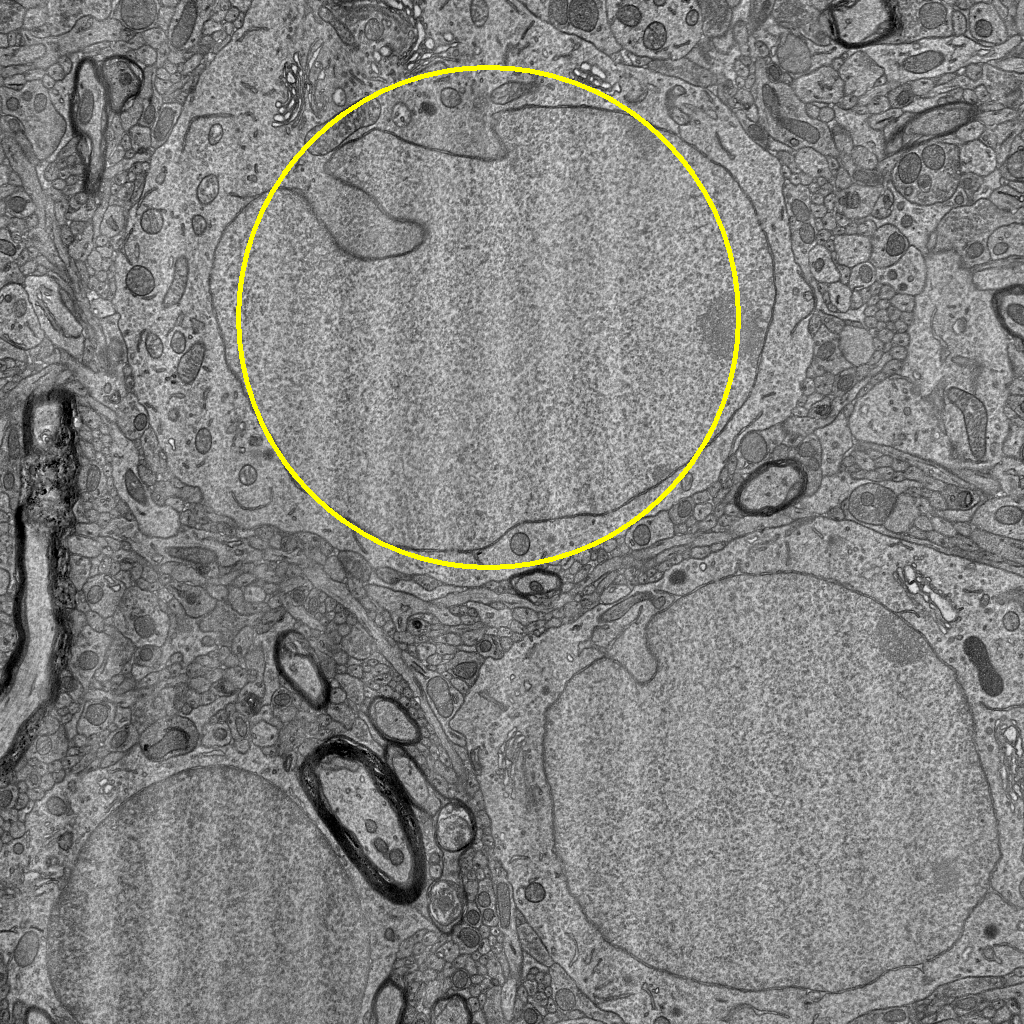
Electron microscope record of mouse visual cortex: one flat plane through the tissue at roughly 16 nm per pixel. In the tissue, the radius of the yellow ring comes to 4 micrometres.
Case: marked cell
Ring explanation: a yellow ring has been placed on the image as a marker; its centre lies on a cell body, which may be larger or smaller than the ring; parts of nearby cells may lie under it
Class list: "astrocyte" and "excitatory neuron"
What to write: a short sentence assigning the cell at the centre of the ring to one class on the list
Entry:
The cell at the ring's centre is an excitatory neuron.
